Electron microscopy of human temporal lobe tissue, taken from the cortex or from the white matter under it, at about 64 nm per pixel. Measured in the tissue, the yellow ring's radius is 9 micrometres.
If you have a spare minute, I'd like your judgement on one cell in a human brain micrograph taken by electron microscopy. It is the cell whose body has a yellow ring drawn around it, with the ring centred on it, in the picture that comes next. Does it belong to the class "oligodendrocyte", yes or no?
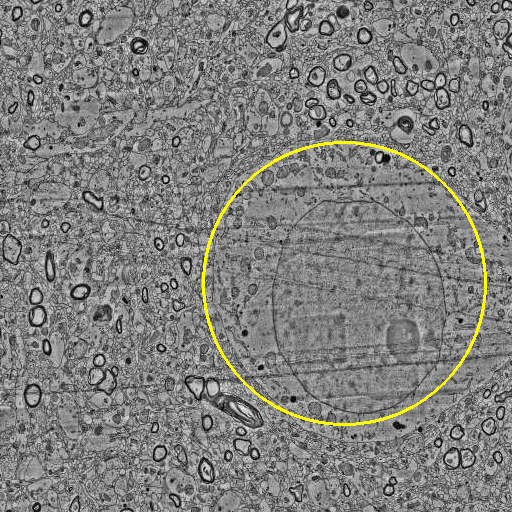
No, it belongs to another class.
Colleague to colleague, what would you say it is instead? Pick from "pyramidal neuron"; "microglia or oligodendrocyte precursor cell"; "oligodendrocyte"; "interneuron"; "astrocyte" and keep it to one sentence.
The ringed cell in this picture is, instead, a pyramidal neuron.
